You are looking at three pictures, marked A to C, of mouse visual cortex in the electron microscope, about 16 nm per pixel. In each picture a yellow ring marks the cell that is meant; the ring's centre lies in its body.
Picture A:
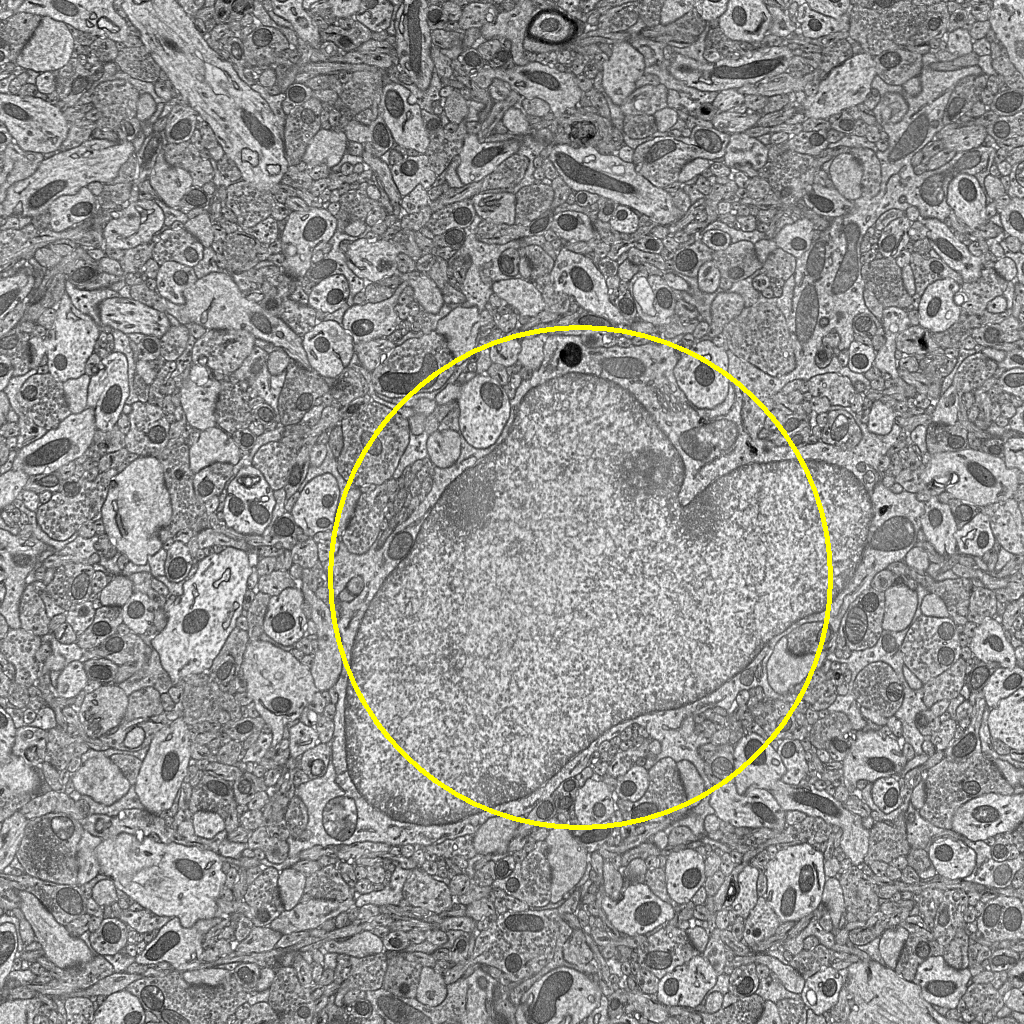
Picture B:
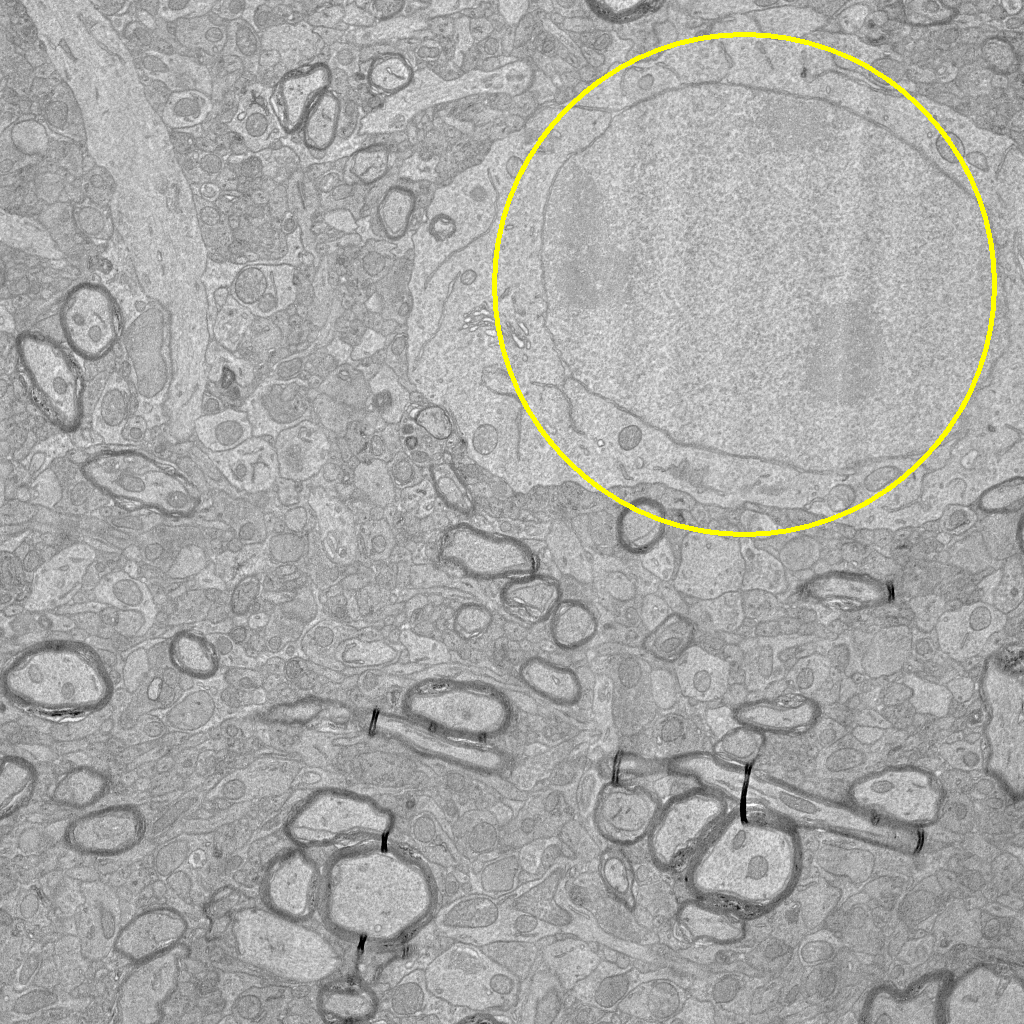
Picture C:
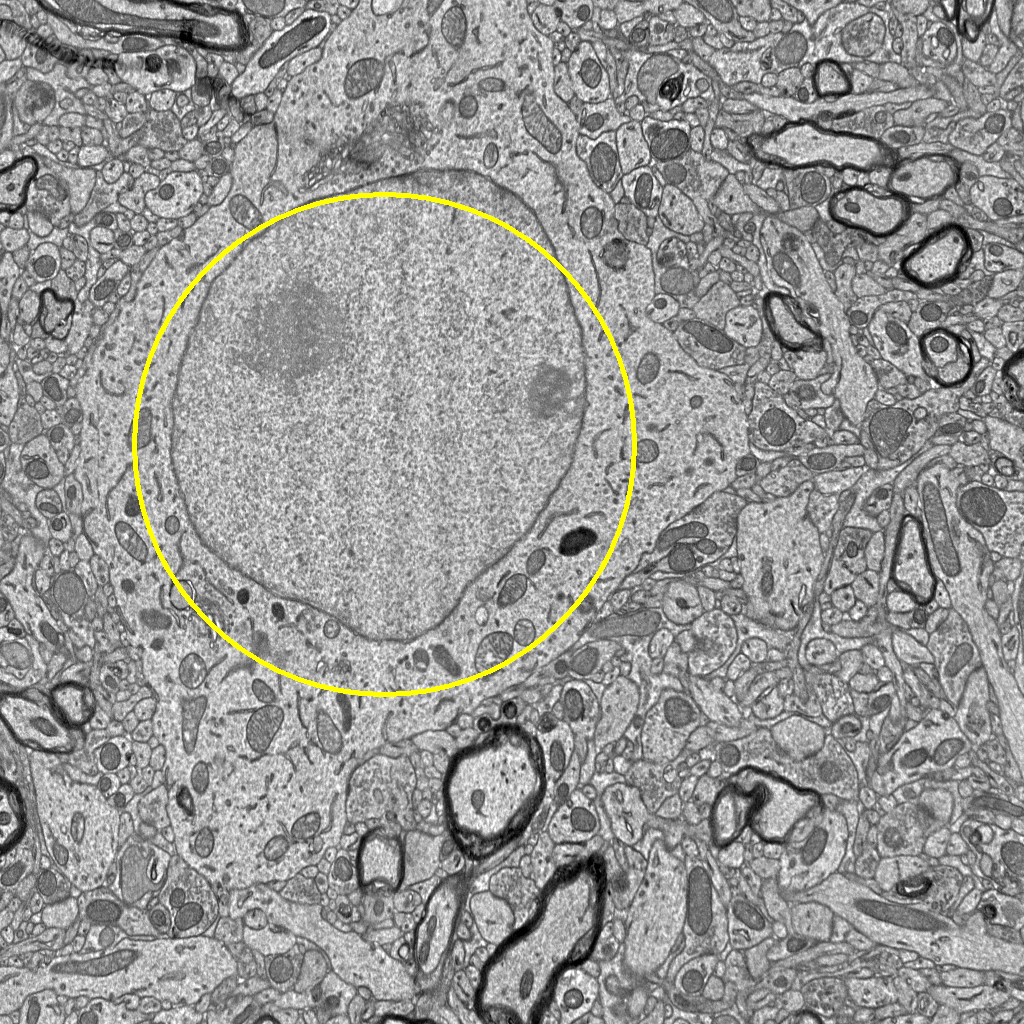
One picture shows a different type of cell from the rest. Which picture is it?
Picture A differs, because its cell is an astrocyte and the rest are excitatory neurons.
